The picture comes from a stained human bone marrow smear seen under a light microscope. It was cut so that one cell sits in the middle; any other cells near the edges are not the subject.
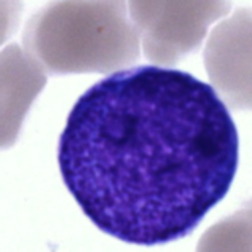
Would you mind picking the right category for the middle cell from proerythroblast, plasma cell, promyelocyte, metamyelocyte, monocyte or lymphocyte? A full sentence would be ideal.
The crop's centre is taken up by a promyelocyte.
